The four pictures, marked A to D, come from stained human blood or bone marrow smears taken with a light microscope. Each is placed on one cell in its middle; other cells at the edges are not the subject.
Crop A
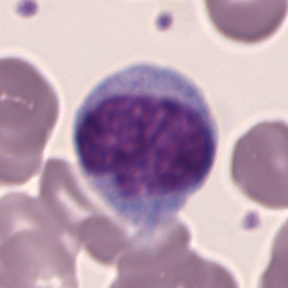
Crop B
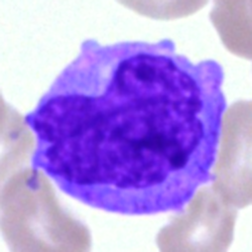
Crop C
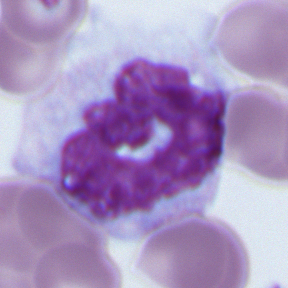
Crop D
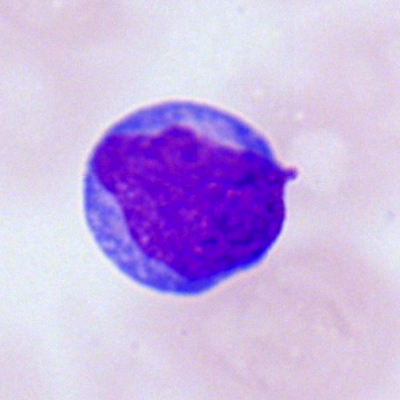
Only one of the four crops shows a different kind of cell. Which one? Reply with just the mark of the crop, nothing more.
D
